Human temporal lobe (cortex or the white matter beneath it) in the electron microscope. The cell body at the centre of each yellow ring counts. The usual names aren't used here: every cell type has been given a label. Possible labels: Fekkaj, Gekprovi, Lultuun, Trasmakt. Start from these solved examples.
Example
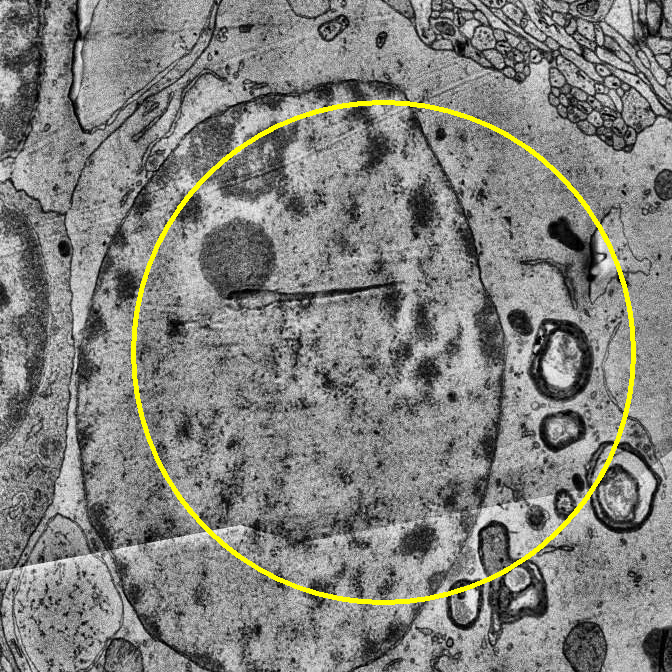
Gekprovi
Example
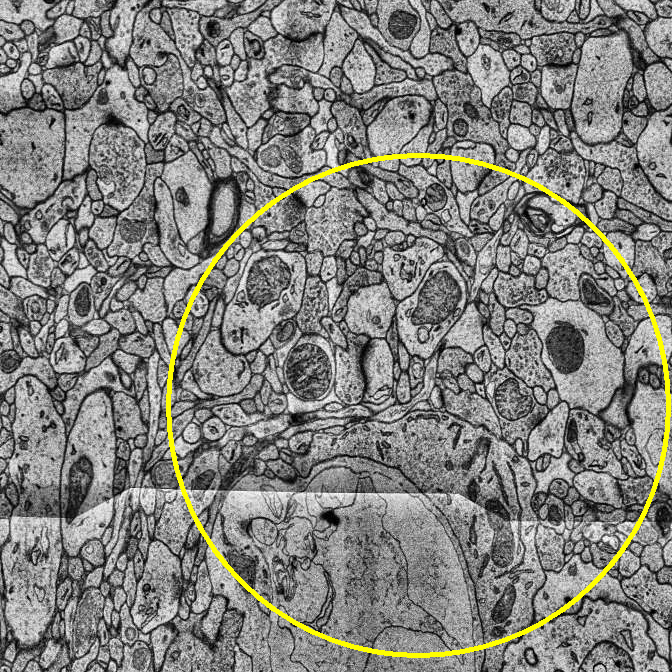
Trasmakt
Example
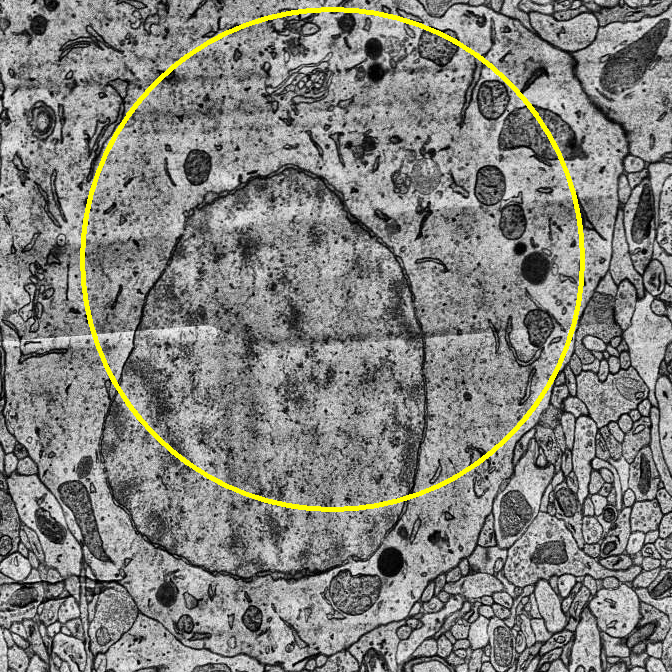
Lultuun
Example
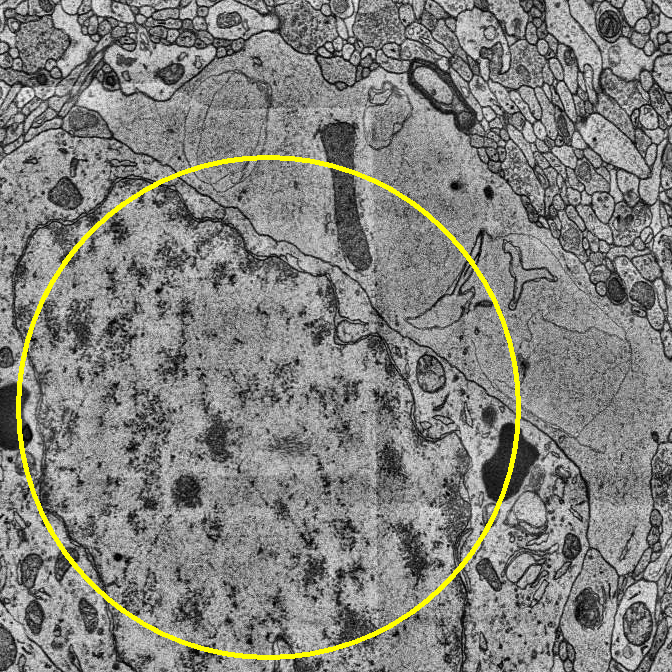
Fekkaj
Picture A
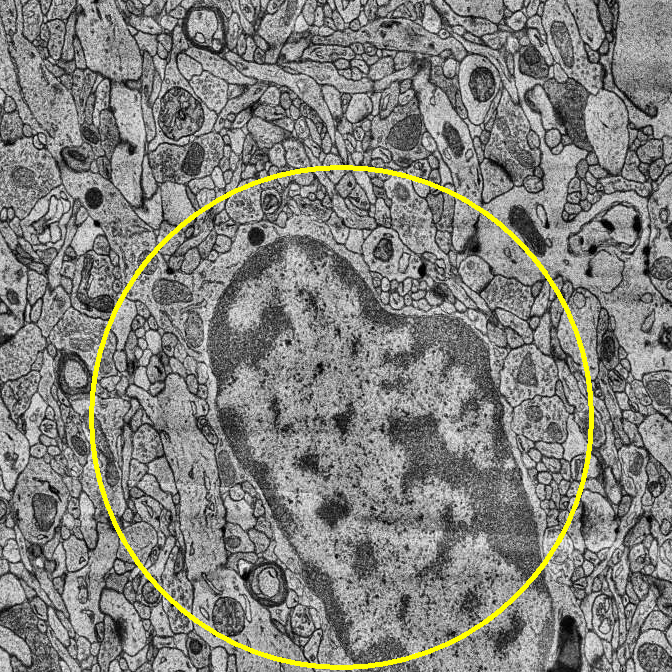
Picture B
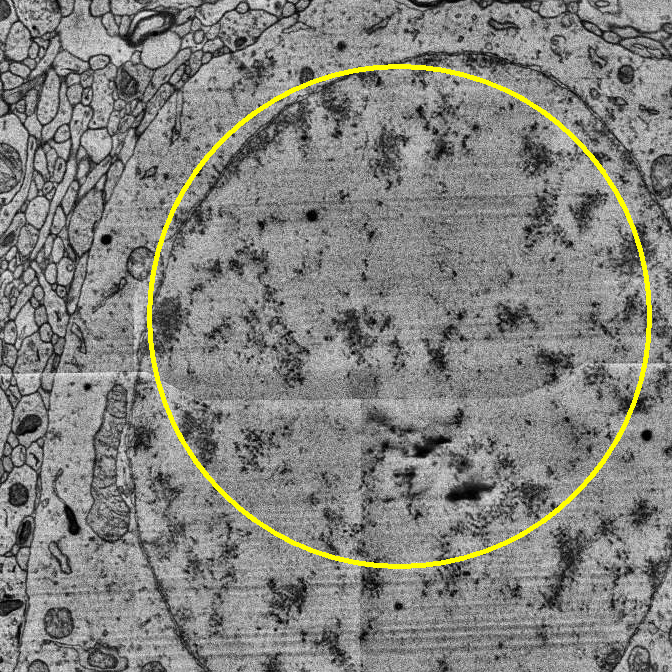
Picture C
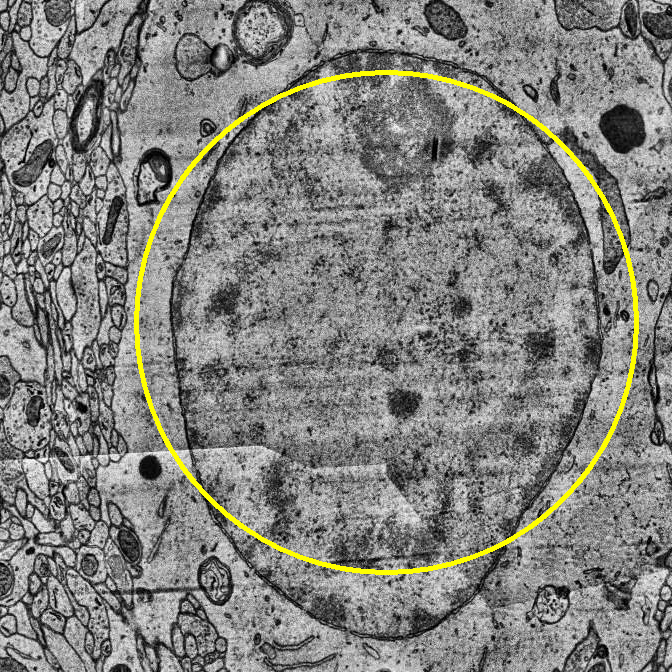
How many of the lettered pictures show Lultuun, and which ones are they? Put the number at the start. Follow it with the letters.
1, namely B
